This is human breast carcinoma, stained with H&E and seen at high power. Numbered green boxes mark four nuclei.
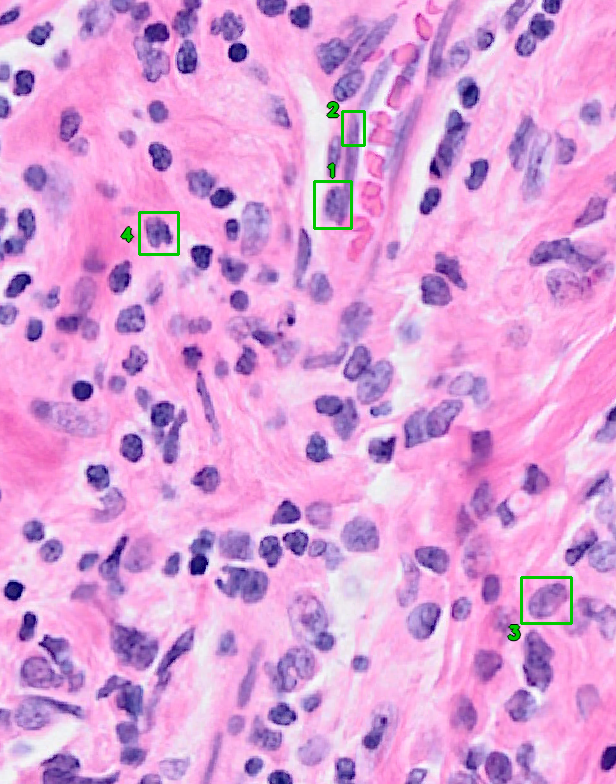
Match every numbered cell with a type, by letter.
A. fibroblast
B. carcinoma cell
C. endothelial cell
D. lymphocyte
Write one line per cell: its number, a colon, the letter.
1: C
2: C
3: B
4: D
